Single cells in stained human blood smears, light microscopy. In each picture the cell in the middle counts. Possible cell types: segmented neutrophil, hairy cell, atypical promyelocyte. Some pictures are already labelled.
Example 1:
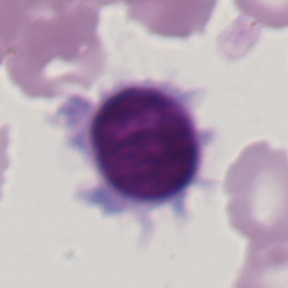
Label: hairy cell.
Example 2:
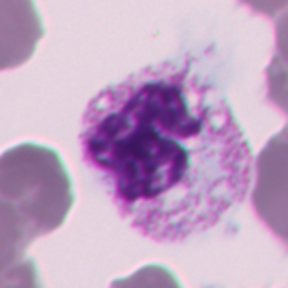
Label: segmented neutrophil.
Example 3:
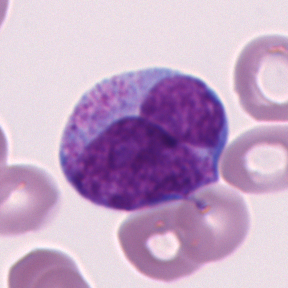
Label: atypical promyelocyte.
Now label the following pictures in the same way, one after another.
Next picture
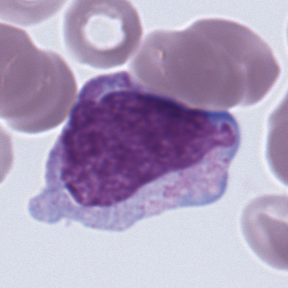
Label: atypical promyelocyte.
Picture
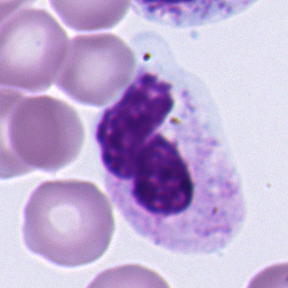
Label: segmented neutrophil.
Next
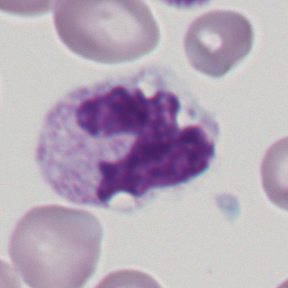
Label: segmented neutrophil.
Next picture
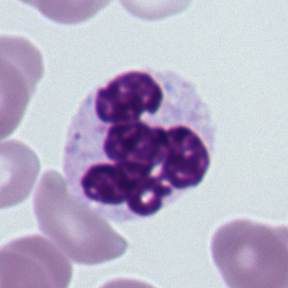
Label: segmented neutrophil.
